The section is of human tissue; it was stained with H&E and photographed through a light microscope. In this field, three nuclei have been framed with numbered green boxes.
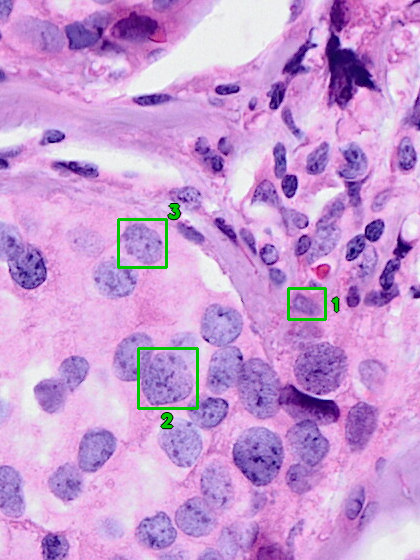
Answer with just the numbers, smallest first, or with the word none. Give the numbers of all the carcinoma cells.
2, 3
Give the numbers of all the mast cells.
none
